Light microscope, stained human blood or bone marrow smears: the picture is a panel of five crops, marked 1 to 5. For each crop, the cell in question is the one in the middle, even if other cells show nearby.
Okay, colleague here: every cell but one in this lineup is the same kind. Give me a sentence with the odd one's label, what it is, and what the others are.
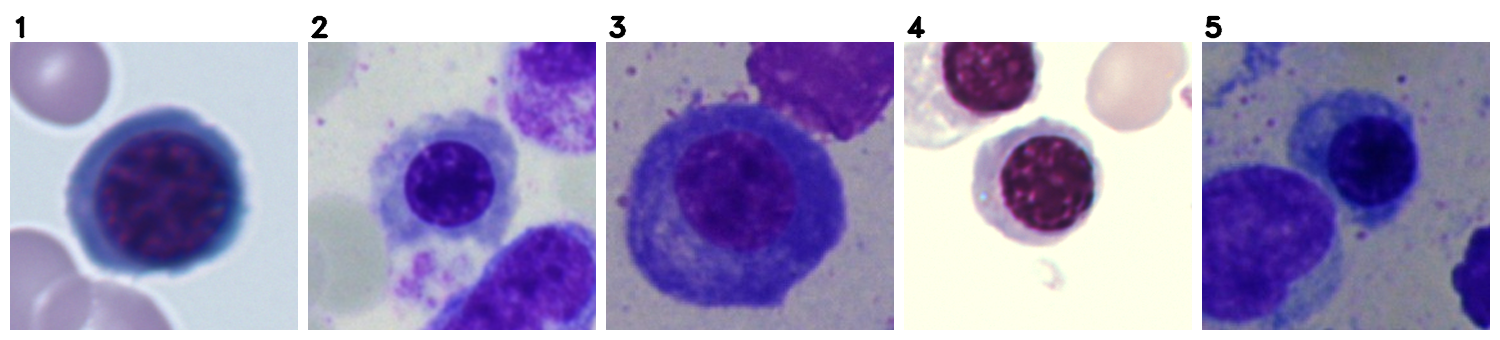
Only one crop differs, namely crop 3, which is a plasma cell; the others show erythroblasts.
